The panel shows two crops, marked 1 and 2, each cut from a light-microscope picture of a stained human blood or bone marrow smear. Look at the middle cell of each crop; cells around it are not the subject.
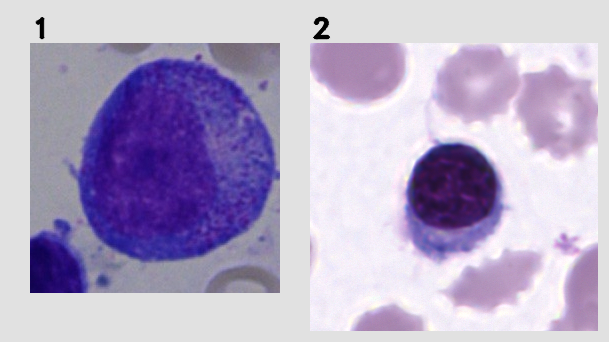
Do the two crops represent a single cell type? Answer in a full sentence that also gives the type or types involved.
No, the assignment should read crop 1, a promyelocyte; crop 2, a plasma cell.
